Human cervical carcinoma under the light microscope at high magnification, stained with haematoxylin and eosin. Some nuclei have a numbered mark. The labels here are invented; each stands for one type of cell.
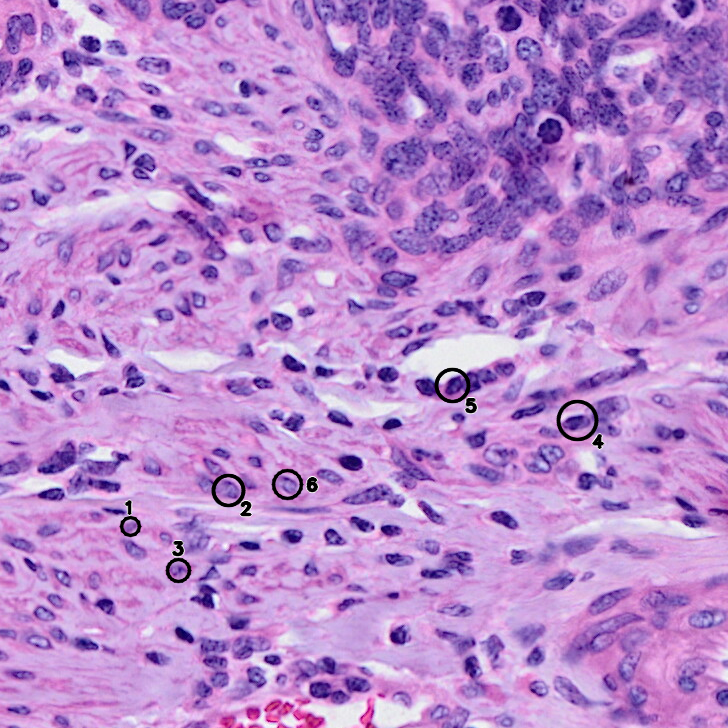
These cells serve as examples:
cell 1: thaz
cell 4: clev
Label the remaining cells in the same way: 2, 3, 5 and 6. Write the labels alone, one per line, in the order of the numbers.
thaz
thaz
clev
thaz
